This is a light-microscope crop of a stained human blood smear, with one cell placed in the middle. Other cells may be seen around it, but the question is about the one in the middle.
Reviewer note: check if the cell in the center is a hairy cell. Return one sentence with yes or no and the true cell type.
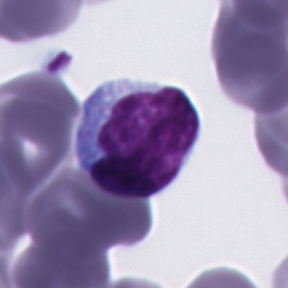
No, the cell at the centre is identified as a typical lymphocyte, not as a hairy cell.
